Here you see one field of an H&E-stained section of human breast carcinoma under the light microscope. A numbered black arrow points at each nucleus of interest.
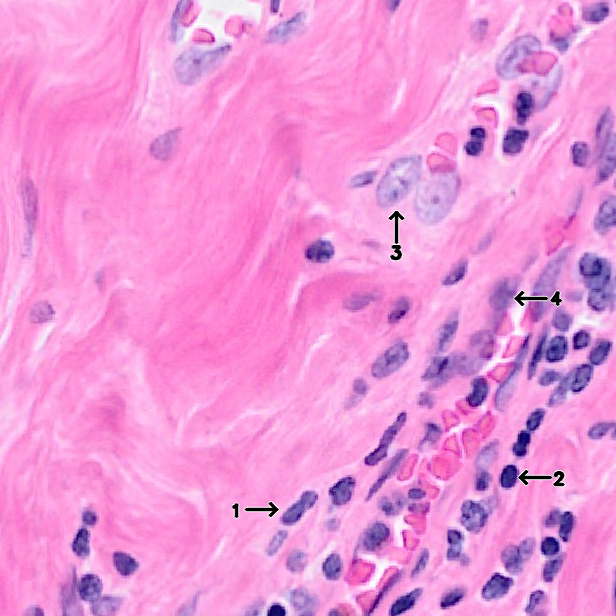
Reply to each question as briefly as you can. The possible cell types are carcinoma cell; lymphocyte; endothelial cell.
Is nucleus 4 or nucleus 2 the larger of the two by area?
4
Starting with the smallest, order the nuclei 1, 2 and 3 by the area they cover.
2, 1, 3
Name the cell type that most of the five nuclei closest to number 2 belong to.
lymphocyte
